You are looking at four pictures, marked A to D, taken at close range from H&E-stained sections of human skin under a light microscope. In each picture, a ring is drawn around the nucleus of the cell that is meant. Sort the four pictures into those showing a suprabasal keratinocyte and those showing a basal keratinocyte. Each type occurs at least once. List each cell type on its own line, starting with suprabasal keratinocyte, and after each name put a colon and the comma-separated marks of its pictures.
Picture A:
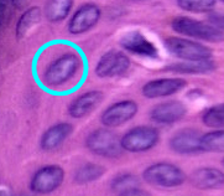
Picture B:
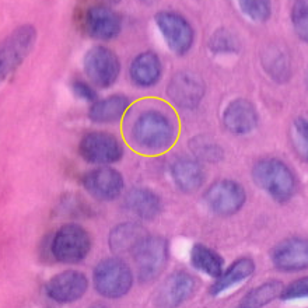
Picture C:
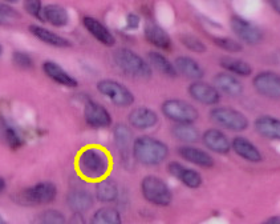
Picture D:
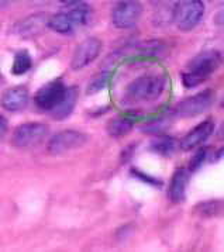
suprabasal keratinocyte: A, B
basal keratinocyte: C, D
